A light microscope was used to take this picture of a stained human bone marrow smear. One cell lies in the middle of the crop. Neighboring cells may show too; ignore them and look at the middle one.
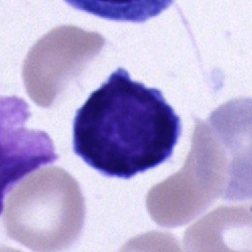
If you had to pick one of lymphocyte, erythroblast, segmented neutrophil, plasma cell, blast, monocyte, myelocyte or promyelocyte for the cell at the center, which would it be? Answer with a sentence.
The cell nearest the centre of this crop is a lymphocyte.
